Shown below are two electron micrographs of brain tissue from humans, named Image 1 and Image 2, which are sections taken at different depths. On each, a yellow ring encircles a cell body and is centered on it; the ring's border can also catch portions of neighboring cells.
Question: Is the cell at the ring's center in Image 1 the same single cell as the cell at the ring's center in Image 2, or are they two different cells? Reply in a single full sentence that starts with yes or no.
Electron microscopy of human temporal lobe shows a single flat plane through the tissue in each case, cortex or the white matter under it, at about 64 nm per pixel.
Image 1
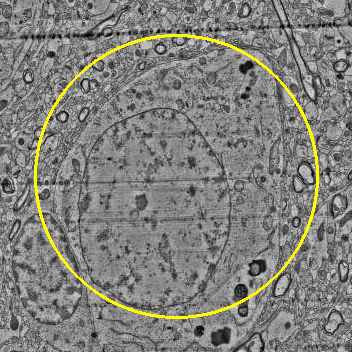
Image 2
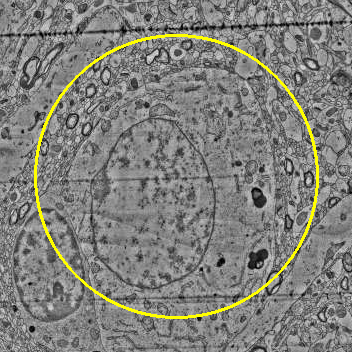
Yes, both rings identify a single, shared cell.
